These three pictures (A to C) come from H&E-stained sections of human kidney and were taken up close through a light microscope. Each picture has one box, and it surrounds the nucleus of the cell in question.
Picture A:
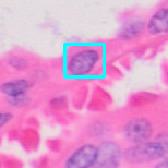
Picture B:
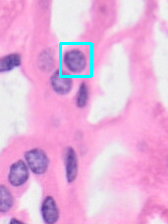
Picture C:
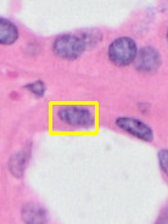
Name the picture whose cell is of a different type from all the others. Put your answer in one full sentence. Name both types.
The different one is picture B; it shows a collecting duct cell, whereas all the others show “loop of Henle or distal tubule cells”.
